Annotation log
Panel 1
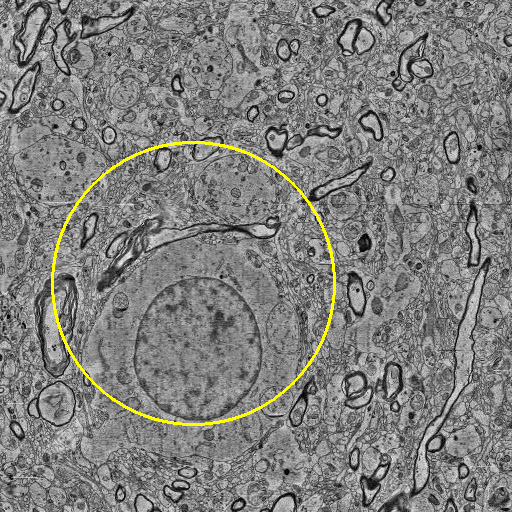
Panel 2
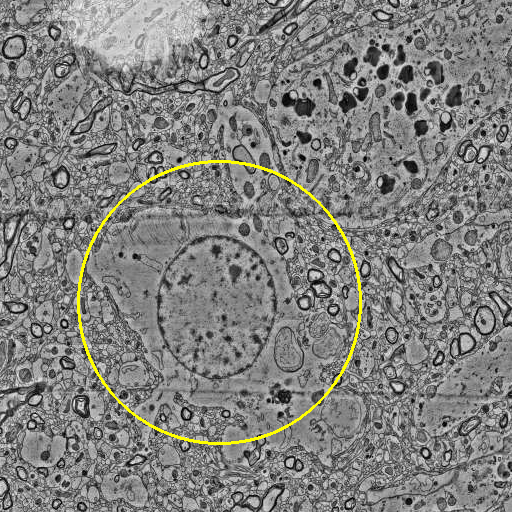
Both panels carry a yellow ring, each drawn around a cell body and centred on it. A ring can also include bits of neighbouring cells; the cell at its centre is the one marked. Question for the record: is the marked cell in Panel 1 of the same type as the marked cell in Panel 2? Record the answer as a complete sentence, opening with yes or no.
Yes, the marked cells in Panel 1 and Panel 2 are of the same type.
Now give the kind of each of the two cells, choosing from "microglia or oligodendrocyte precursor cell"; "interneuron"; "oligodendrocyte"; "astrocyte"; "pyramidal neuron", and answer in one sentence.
The cell at the ring centre is an astrocyte in both pictures.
